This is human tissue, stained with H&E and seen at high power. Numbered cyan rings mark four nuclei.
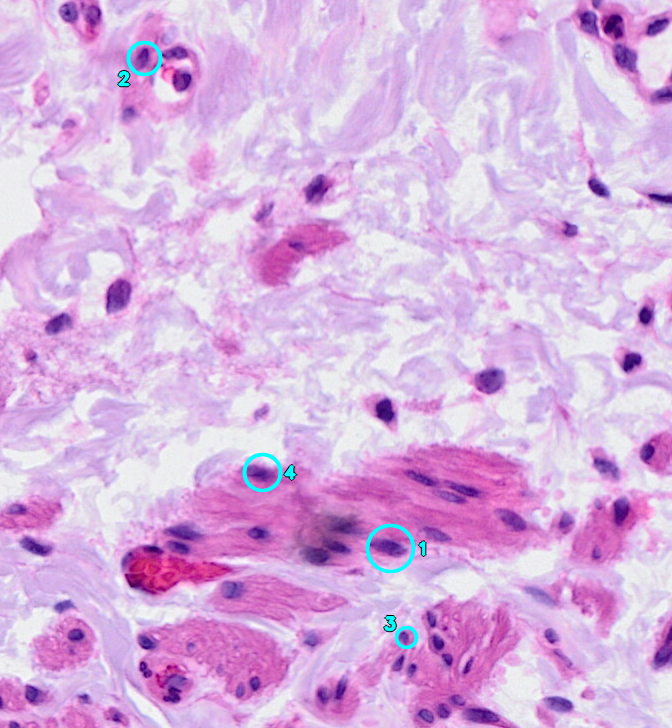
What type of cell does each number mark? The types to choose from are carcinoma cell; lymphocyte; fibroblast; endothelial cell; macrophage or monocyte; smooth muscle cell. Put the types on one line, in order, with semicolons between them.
smooth muscle cell; endothelial cell; smooth muscle cell; smooth muscle cell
